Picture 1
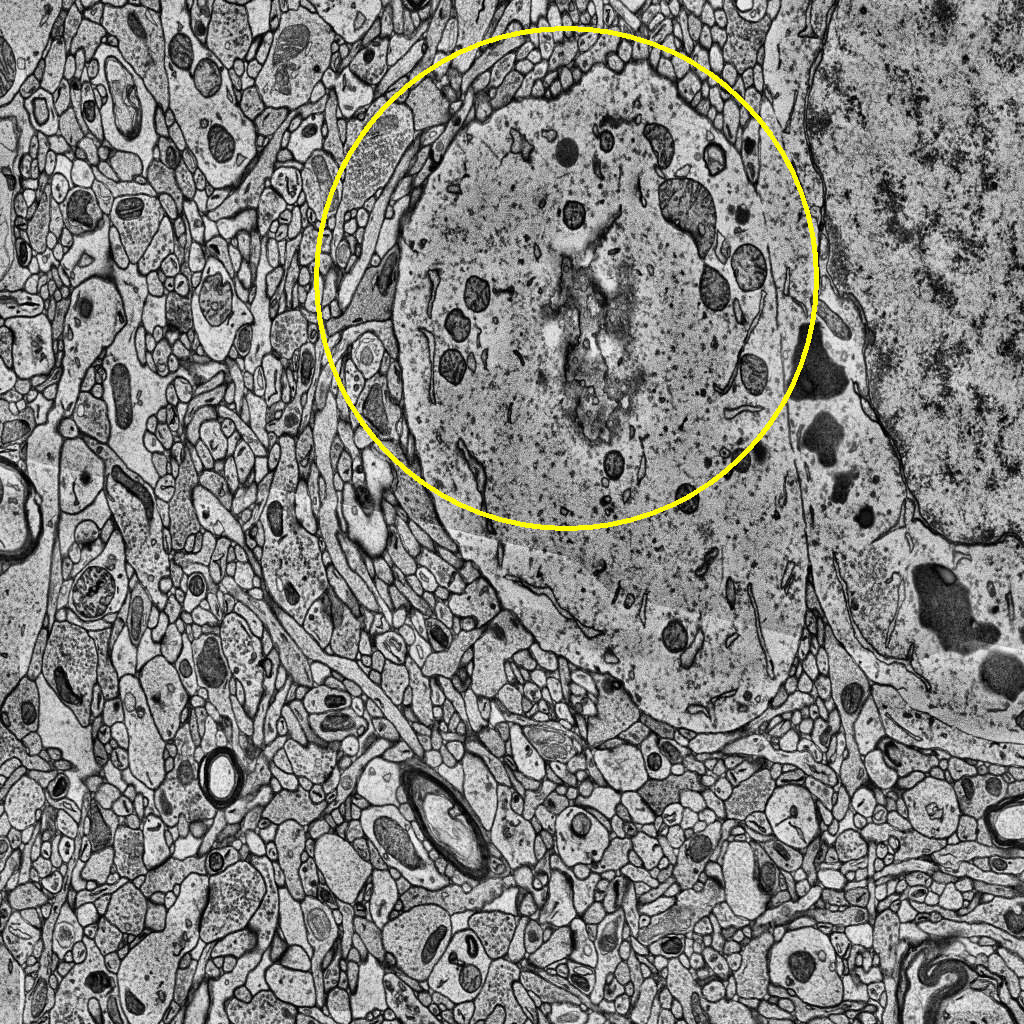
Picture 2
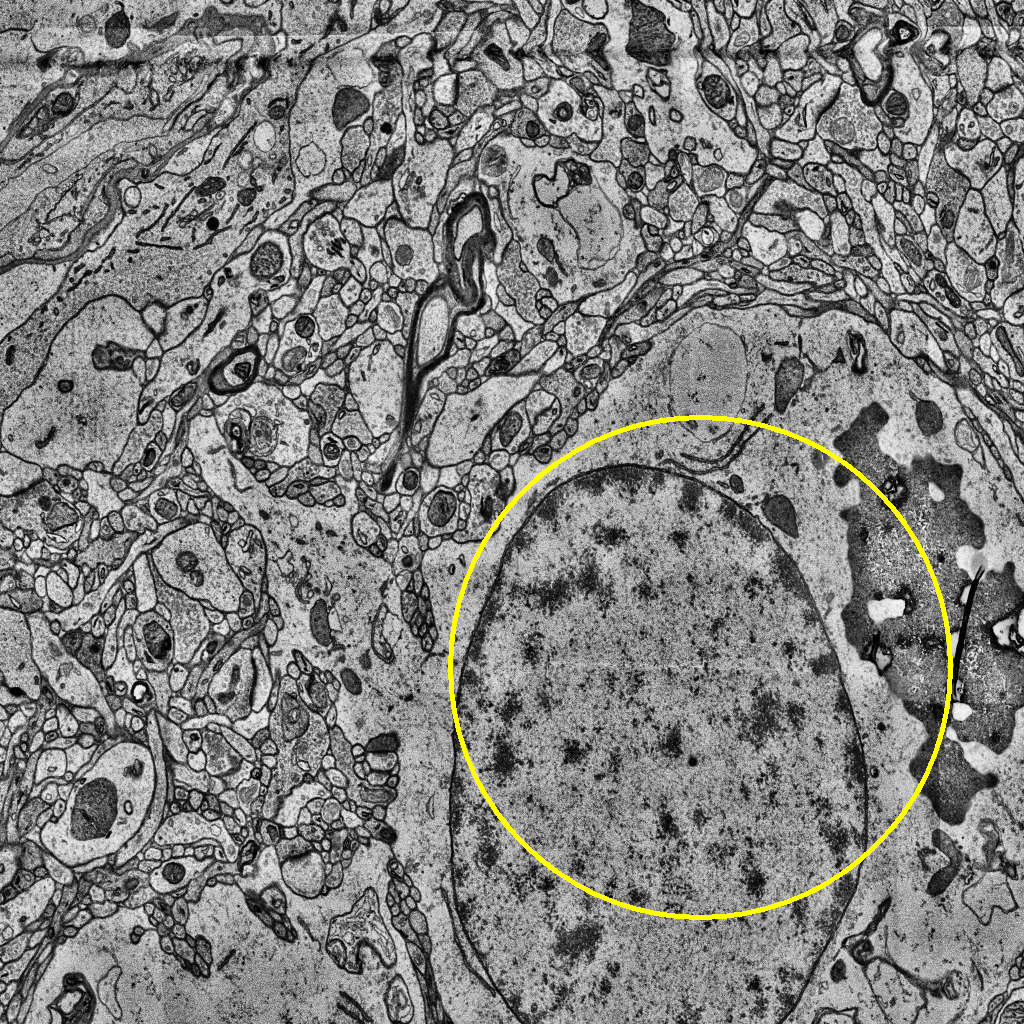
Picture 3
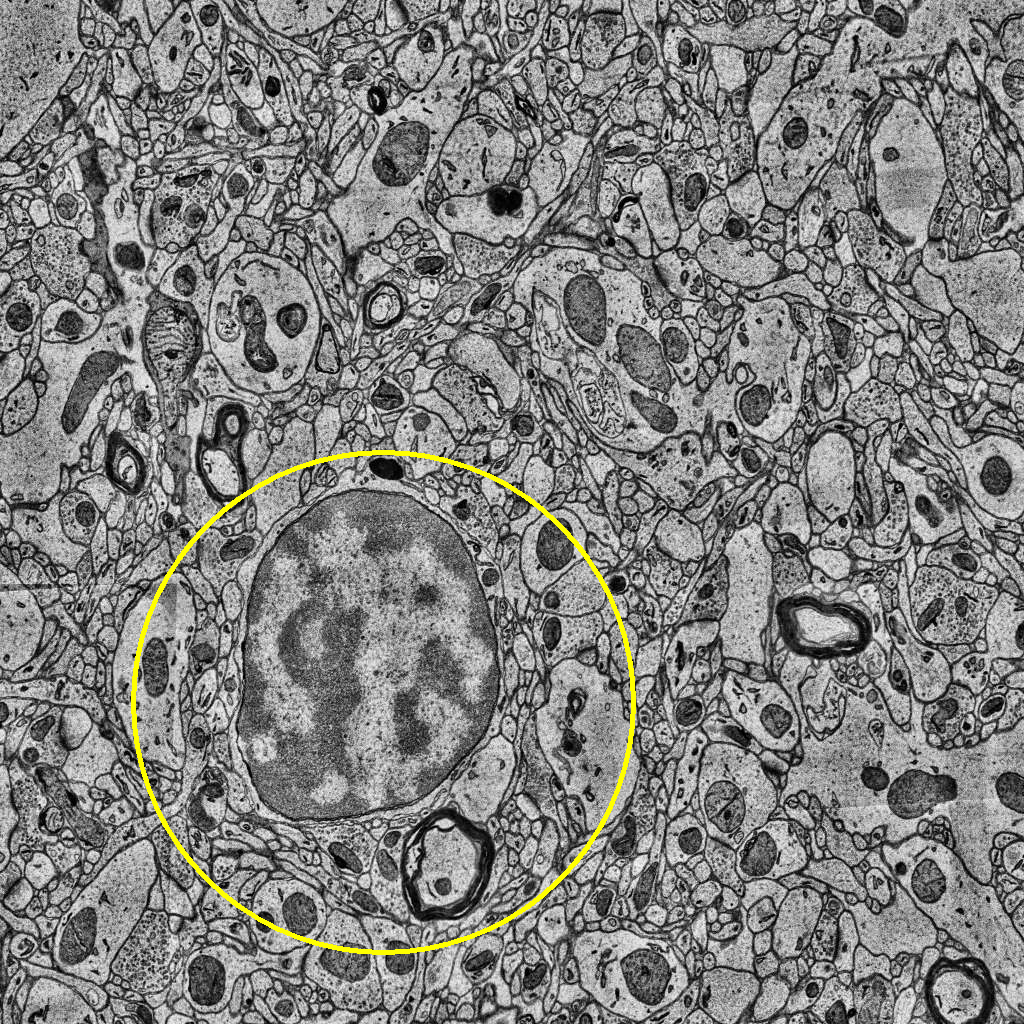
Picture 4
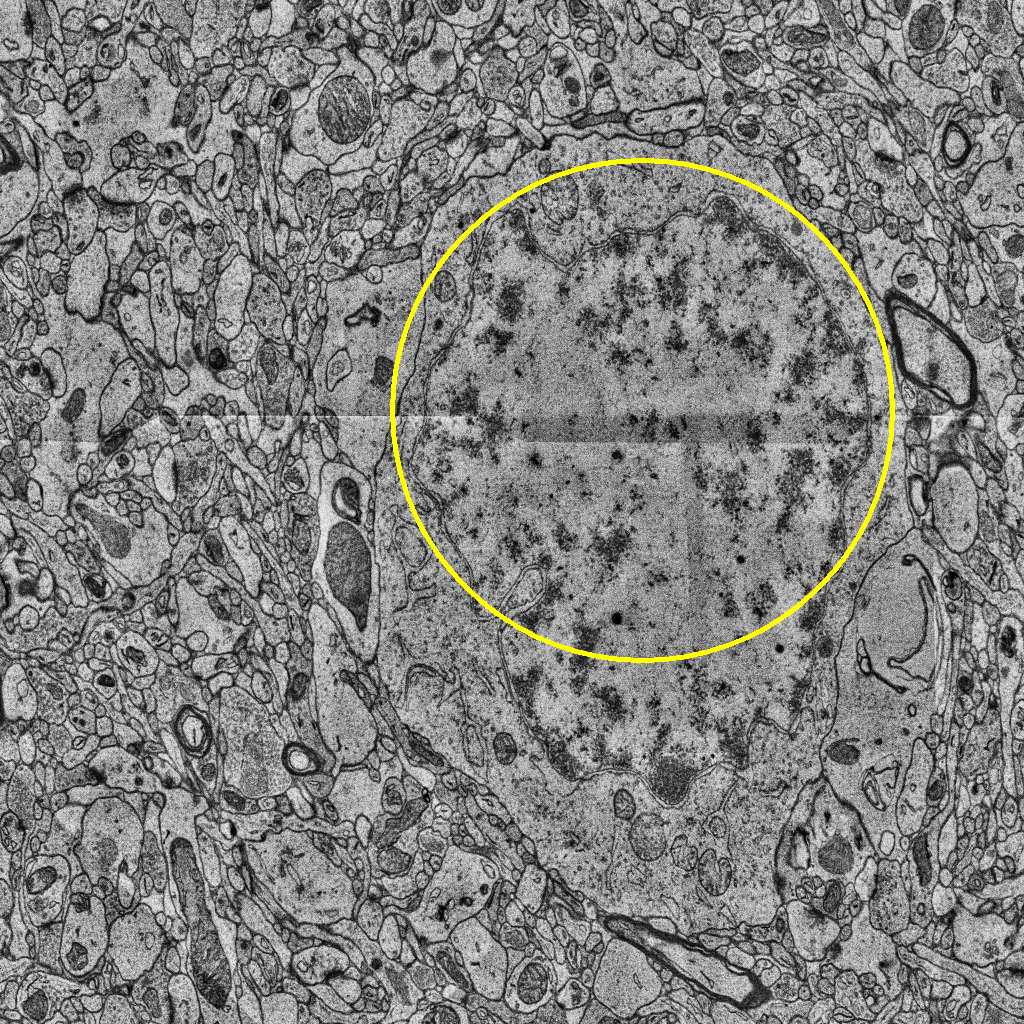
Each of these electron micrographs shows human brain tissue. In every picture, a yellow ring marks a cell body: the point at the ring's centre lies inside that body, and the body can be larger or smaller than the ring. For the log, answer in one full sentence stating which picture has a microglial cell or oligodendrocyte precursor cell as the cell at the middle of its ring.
In picture 3, the centre of the yellow ring lies inside the requested cell.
